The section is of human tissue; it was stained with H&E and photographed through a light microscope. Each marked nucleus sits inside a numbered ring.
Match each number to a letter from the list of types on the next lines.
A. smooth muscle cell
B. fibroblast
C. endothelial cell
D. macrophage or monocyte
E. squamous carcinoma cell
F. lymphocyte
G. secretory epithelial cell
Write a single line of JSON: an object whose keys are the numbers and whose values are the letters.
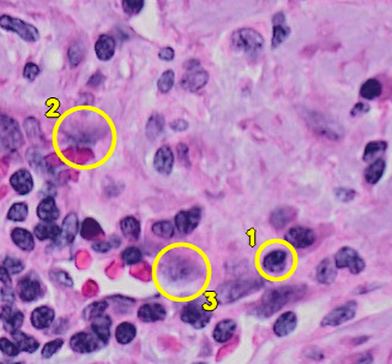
{"1": "F", "2": "C", "3": "C"}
